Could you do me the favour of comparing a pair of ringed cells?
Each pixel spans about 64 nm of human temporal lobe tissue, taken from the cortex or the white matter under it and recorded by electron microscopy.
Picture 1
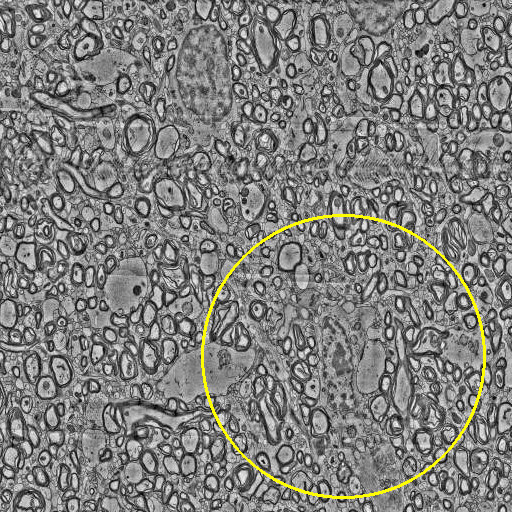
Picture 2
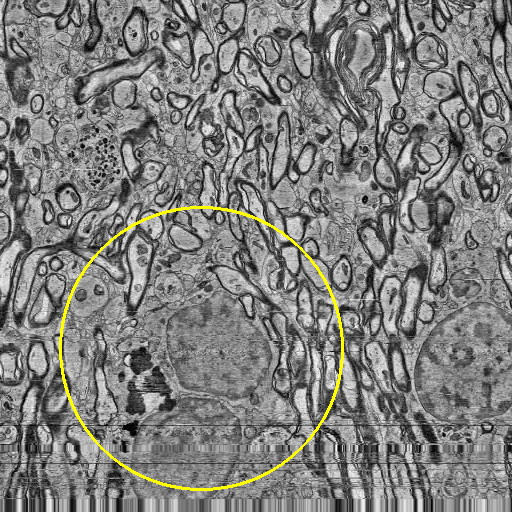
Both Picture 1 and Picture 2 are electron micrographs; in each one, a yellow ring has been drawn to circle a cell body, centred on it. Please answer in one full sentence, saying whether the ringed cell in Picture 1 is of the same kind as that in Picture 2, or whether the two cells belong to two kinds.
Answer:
The ringed cells in Picture 1 and Picture 2 belong to two kinds.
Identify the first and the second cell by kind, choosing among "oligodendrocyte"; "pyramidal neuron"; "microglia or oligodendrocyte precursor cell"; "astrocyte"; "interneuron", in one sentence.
The one in the first picture is an astrocyte, while the one in the second is an oligodendrocyte.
